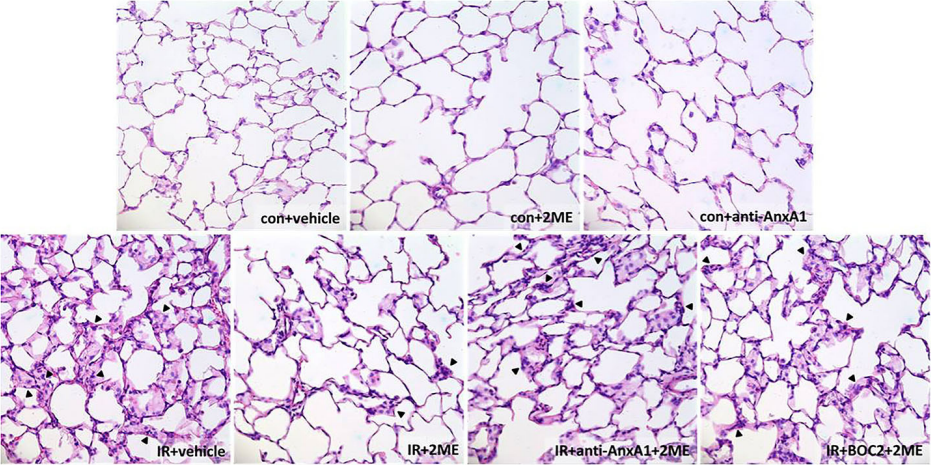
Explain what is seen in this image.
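Lung parenchyma with thin-walled alveoli, stained pink, and purple nuclei in the septa. In some images the alveolar walls are thin and delicate, with few nuclei around open air spaces. In others the septa are thickened and crowded with many dark nuclei, and the alveolar spaces are narrowed and irregular. Arrowheads point to clusters of small dark nuclei within the thickened walls.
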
